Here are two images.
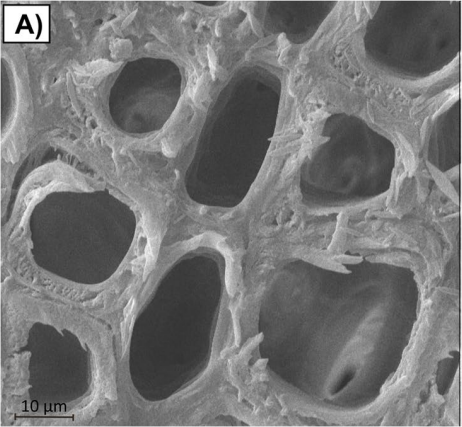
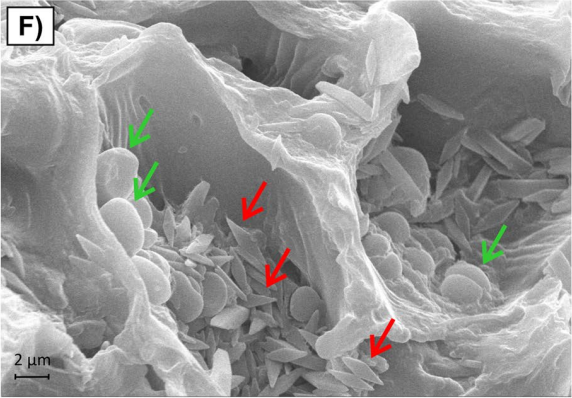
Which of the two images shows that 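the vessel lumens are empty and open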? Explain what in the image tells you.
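The first image. Second image: the cavities hold rounded bulging bodies and heaps of angular plates. First image: large lumens are open with nothing inside.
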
